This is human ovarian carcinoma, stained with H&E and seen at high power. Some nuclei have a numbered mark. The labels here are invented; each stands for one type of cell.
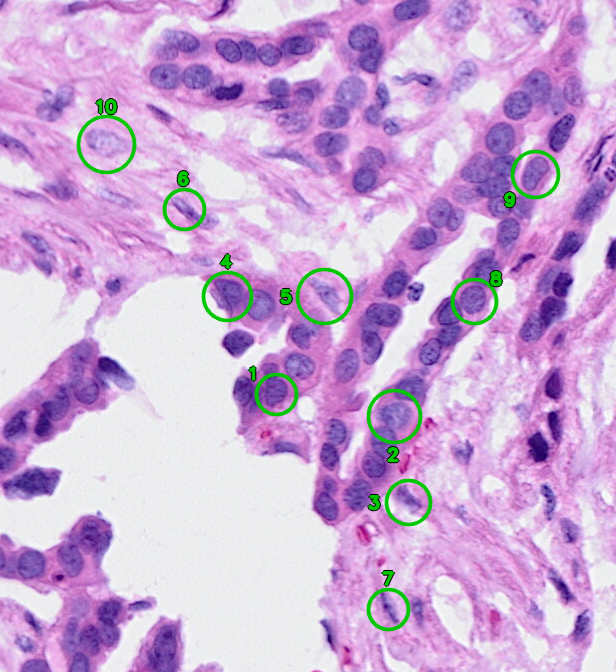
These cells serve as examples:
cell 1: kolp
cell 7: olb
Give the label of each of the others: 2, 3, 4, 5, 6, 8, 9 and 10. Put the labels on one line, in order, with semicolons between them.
kolp; olb; kolp; olb; olb; kolp; kolp; olb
